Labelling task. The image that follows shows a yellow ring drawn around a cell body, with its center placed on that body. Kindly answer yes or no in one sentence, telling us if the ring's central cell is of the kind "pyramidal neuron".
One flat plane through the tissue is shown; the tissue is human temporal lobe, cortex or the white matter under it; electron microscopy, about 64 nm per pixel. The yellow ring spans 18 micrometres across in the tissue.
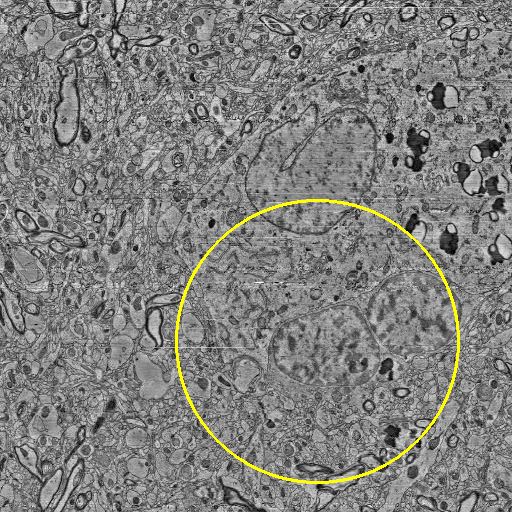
No, in this image the cell at the ring's center is of a different kind.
